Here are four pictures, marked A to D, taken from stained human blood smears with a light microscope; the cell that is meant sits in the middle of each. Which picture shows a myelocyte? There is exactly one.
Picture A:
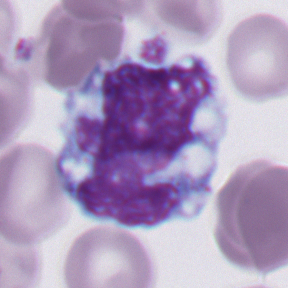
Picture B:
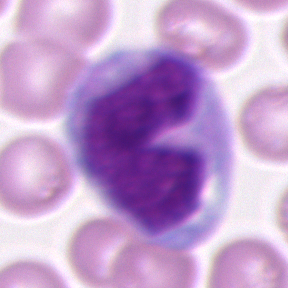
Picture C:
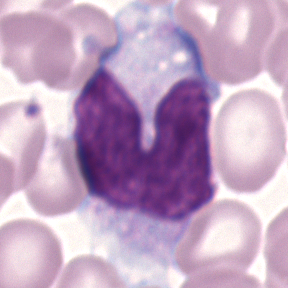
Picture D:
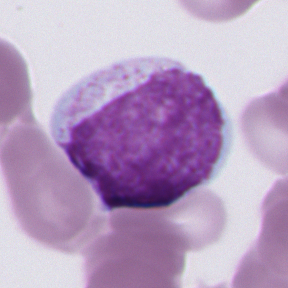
D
